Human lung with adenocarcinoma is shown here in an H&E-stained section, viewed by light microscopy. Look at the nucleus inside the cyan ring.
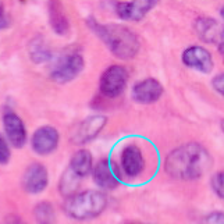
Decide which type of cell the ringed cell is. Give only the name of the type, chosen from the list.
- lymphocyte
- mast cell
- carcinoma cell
lymphocyte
